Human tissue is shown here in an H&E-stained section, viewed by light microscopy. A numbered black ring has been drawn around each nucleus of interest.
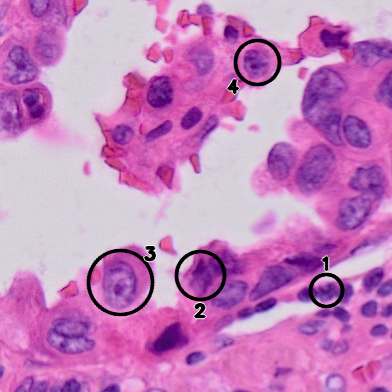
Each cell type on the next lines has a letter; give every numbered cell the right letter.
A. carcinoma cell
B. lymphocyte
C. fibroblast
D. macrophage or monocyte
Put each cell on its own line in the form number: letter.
1: B
2: A
3: A
4: D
